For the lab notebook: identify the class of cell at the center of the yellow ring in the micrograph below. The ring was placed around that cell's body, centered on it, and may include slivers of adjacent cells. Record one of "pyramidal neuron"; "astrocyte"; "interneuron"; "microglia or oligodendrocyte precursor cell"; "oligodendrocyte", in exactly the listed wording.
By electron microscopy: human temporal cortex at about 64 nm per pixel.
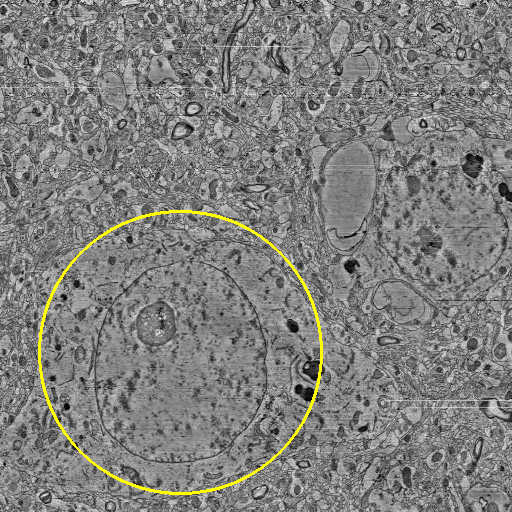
pyramidal neuron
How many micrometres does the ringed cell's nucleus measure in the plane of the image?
In this plane the nucleus is about 14 micrometres by 12.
